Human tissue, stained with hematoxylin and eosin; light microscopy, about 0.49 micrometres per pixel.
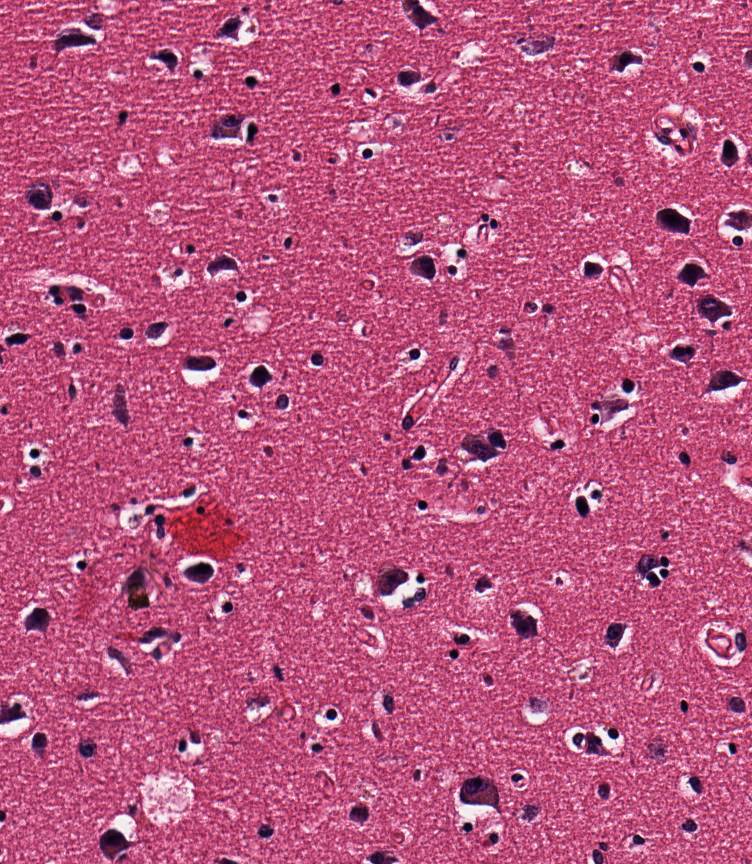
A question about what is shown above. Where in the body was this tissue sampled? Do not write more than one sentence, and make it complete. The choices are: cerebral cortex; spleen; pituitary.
The tissue in view was sampled from the cerebral cortex.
